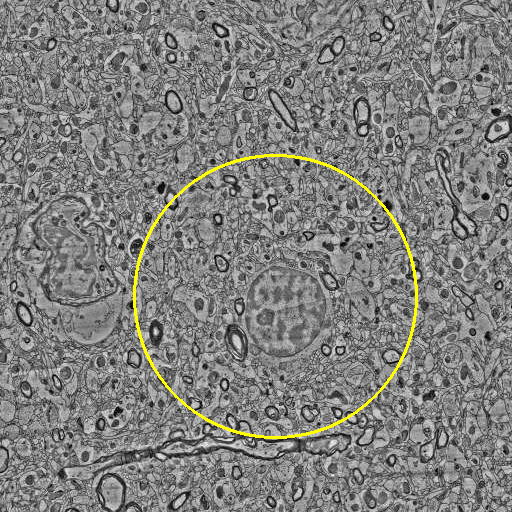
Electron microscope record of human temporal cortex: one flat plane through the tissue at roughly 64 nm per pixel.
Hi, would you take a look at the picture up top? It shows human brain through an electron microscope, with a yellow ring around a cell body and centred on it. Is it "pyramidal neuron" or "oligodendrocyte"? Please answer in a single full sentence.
The best fit for the cell in the middle of the ring is an oligodendrocyte, I reckon.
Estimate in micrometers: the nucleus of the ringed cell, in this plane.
In this plane the nucleus measures roughly 6 by 5 micrometres.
